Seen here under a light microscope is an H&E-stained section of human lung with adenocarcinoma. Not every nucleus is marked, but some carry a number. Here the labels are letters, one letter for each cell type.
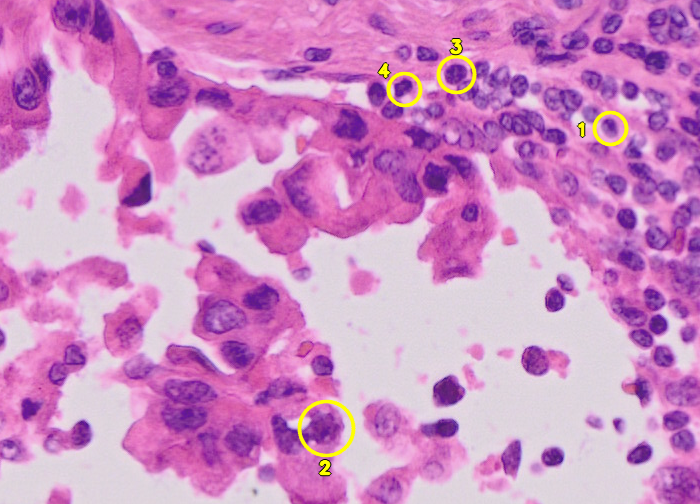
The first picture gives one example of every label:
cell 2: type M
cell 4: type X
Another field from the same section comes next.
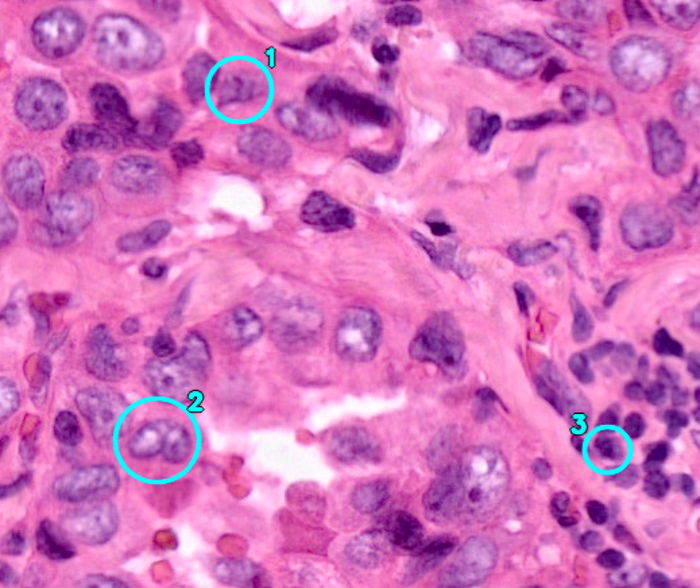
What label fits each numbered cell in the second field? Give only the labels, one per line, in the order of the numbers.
type M
type M
type X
